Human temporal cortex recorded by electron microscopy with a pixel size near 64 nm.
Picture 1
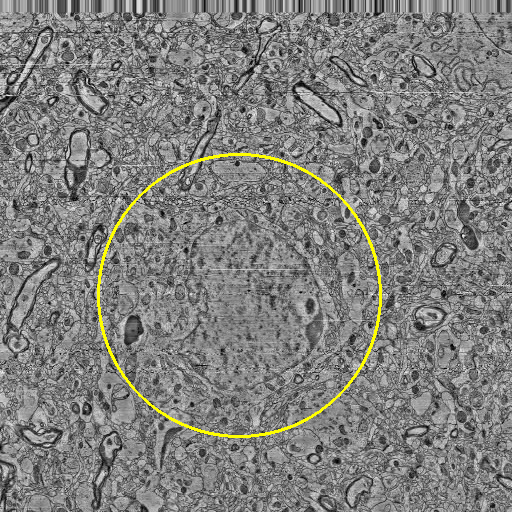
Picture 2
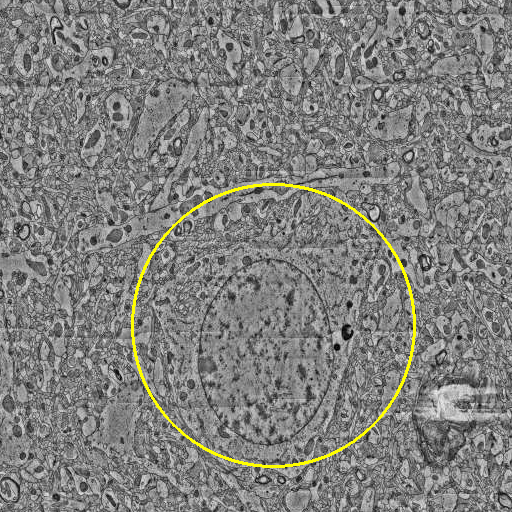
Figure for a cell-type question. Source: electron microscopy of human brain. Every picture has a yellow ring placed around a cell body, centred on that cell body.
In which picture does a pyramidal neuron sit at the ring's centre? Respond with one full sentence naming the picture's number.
The cell in the middle of the ring in picture 2 is the one sought.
